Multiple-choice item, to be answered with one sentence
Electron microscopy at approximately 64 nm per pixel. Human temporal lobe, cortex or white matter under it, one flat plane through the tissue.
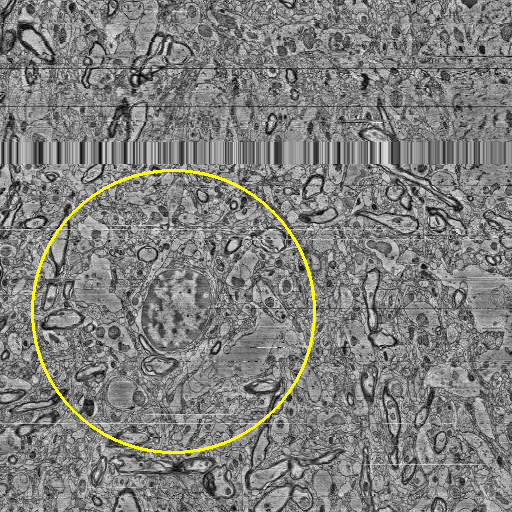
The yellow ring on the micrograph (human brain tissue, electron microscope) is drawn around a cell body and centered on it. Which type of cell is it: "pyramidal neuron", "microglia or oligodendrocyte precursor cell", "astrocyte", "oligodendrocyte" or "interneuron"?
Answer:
The ring is centered on a microglial cell or oligodendrocyte precursor cell.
